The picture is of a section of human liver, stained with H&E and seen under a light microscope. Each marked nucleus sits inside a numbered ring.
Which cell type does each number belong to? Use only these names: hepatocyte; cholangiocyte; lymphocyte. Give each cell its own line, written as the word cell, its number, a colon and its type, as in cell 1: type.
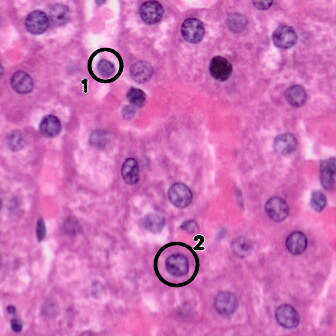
cell 1: lymphocyte
cell 2: hepatocyte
